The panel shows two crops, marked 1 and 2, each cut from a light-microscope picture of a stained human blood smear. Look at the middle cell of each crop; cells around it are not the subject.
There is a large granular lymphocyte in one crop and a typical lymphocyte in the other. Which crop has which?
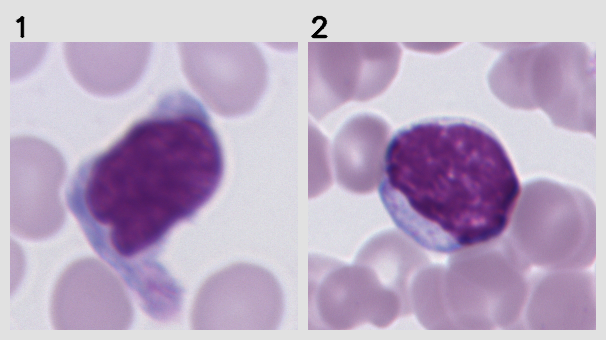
1: typical lymphocyte
2: large granular lymphocyte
